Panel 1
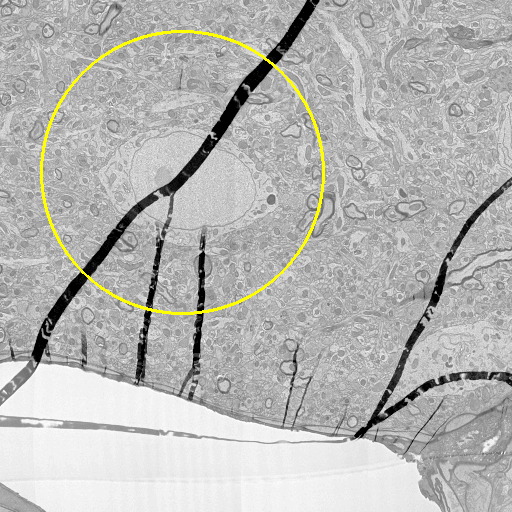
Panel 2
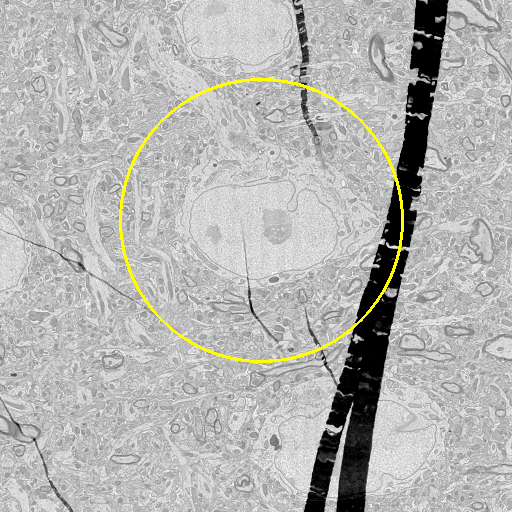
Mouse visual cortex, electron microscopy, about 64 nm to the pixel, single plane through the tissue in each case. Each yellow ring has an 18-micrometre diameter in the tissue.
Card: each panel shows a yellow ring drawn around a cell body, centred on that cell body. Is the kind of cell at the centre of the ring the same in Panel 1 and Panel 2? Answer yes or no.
yes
